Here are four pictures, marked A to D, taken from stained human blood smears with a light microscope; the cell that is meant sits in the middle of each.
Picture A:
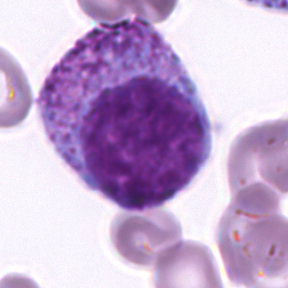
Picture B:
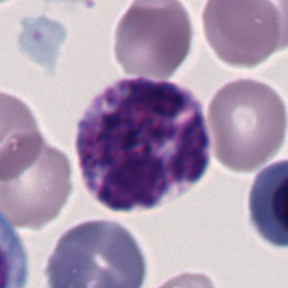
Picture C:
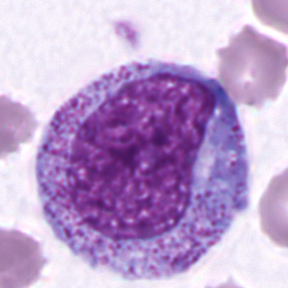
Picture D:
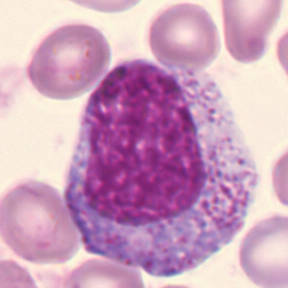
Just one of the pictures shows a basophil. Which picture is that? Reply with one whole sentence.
Picture B is the one that shows the basophil.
